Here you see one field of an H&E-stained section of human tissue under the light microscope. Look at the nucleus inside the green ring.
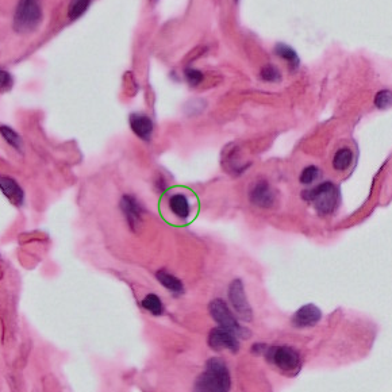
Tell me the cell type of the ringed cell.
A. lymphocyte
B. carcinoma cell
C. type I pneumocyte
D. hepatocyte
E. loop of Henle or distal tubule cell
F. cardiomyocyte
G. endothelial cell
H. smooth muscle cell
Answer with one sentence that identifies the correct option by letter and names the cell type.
Under option C, the ringed cell is listed as a type I pneumocyte, which is correct.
